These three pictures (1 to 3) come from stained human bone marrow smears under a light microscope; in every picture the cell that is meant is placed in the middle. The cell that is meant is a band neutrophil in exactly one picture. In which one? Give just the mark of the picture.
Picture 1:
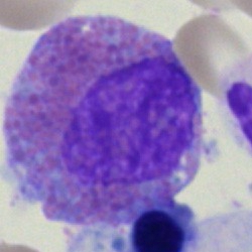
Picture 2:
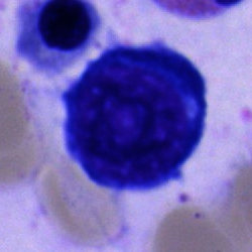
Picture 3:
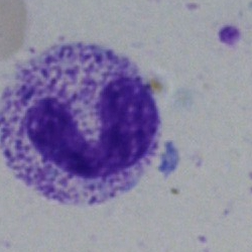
3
